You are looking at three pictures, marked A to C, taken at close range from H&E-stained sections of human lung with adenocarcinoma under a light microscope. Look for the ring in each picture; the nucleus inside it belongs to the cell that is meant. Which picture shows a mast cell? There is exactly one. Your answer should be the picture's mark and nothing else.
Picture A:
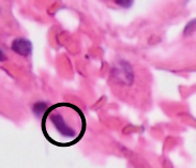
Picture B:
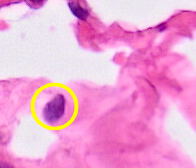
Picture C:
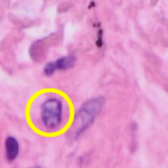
C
